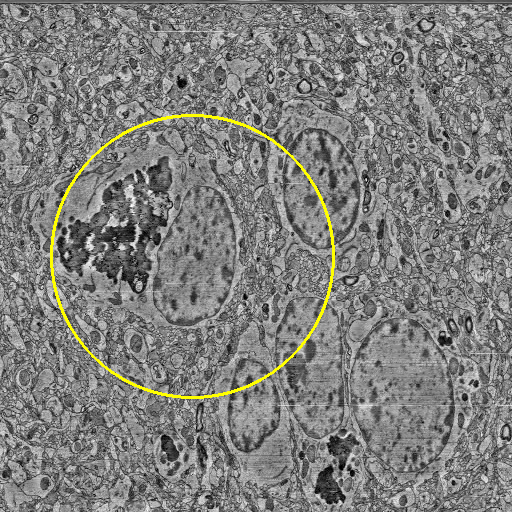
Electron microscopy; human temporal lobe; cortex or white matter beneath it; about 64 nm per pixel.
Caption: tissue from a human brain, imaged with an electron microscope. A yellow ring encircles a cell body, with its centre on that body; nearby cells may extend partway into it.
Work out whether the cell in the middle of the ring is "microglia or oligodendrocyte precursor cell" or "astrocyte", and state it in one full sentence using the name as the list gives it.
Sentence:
In the picture, the cell that the yellow ring surrounds at its centre is an astrocyte.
